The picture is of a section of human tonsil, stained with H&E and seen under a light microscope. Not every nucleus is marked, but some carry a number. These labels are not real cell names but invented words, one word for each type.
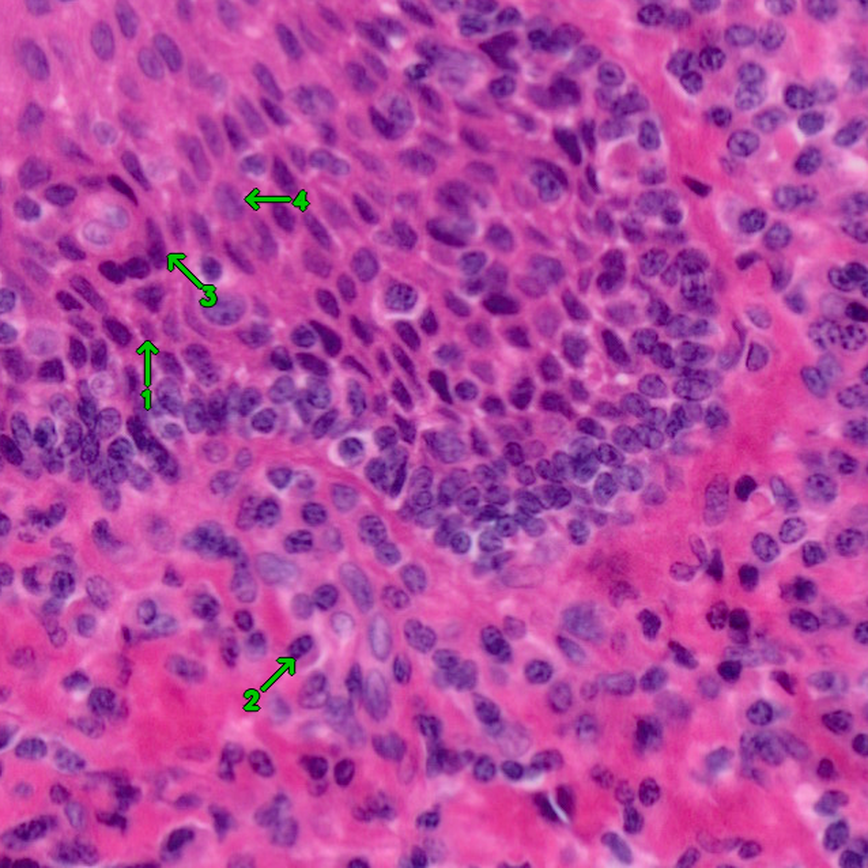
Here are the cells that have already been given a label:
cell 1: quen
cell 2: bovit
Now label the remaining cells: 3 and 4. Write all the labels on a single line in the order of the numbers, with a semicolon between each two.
quen; quen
